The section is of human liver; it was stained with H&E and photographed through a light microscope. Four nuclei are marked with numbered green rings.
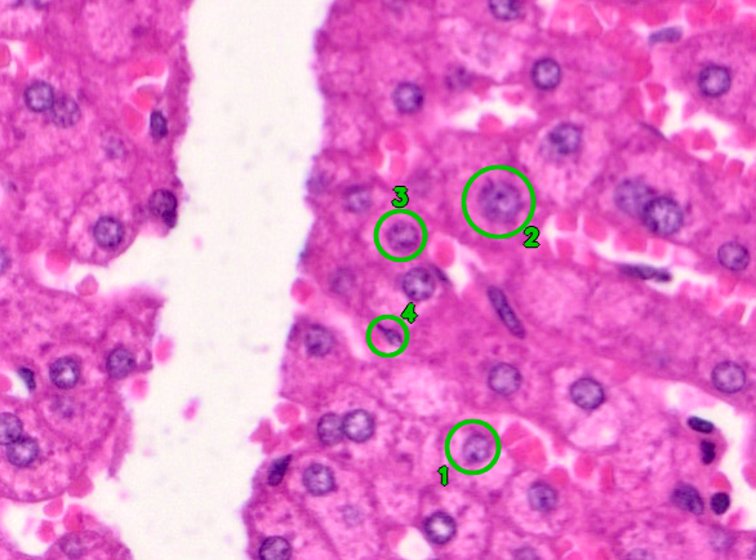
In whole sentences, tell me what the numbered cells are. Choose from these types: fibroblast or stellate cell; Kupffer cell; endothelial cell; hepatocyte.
Cells 1, 2 and 3 are hepatocytes. Cell 4 is an endothelial cell.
